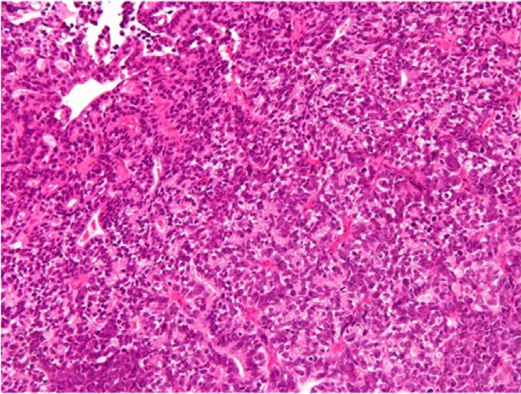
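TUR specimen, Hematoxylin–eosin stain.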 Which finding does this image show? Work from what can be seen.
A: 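Solid sheets of densely packed small cells. Nuclei are dark and crowded with very little cytoplasm. Only thin pink strands and small vessels separate the cell sheets. That points to this answer: small cell carcinoma.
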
